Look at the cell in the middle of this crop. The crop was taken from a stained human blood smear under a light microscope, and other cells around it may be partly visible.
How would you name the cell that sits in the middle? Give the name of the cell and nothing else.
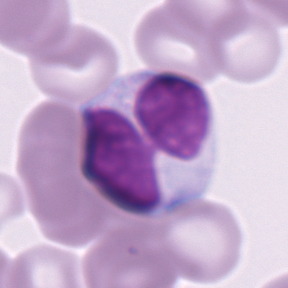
large granular lymphocyte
